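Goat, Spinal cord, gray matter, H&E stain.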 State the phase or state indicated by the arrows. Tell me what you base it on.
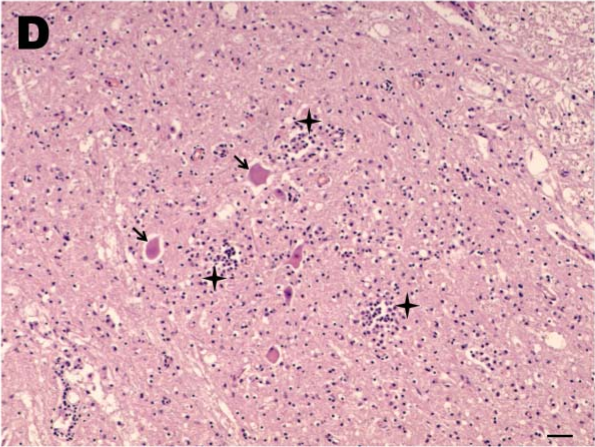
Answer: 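Large rounded cells with glassy, deeply pink cytoplasm. No clear nucleus visible in the marked cells. That points to this answer: neurons undergoing necrosis.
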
